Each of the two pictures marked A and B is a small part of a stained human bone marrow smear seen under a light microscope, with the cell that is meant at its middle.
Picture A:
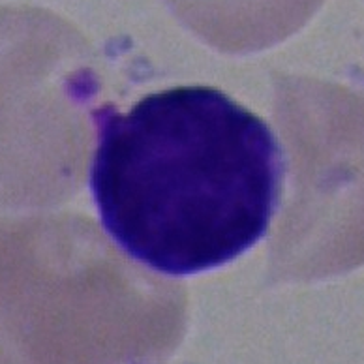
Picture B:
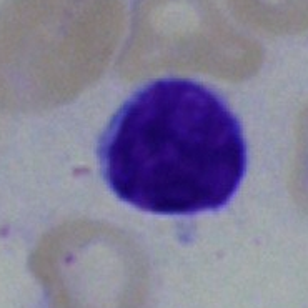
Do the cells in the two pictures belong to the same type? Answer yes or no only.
yes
